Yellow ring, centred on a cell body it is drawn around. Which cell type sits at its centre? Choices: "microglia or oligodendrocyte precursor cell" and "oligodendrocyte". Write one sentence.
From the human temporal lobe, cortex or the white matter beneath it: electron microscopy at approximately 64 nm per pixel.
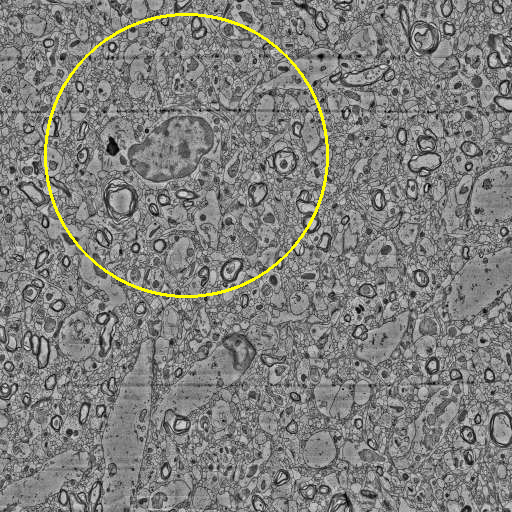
At the centre of the ring sits a microglial cell or oligodendrocyte precursor cell.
